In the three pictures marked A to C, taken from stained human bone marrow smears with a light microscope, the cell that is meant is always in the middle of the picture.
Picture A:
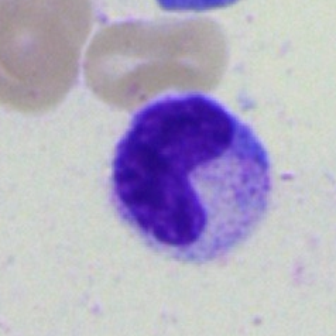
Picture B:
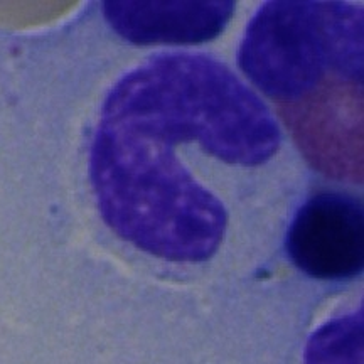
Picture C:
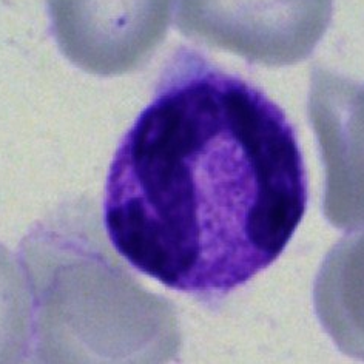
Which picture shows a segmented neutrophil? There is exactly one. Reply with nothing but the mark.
C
